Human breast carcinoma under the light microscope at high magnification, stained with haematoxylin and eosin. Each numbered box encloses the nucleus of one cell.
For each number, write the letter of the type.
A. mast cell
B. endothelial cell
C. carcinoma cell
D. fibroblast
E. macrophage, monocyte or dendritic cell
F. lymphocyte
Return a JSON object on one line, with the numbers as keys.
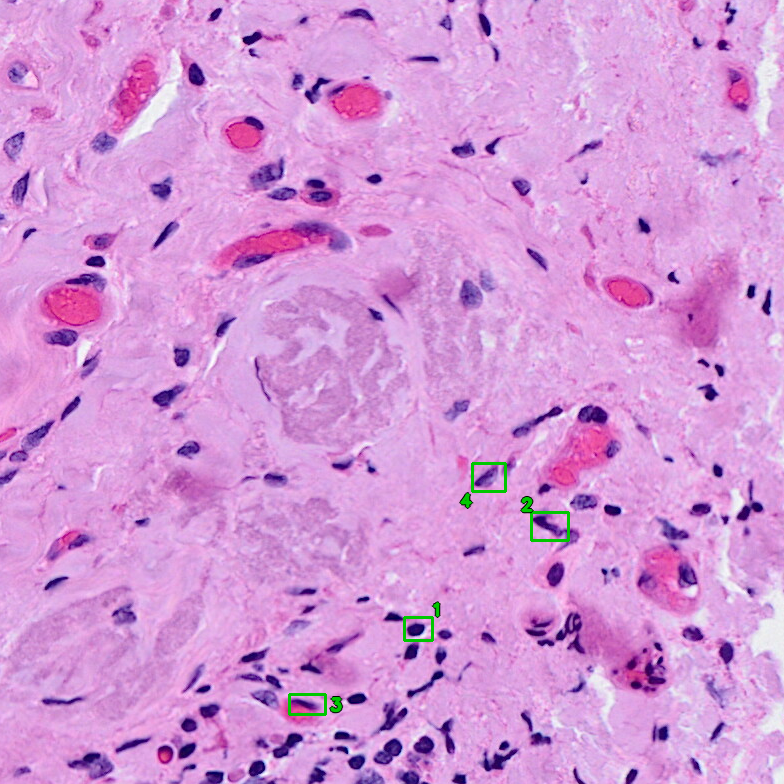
{"1": "F", "2": "D", "3": "B", "4": "D"}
